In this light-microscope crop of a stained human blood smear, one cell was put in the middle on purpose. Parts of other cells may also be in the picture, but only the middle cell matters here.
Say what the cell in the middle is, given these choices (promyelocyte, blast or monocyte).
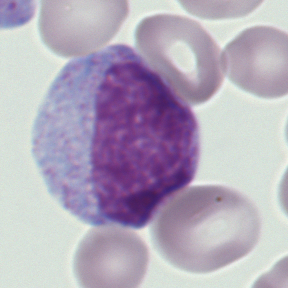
promyelocyte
